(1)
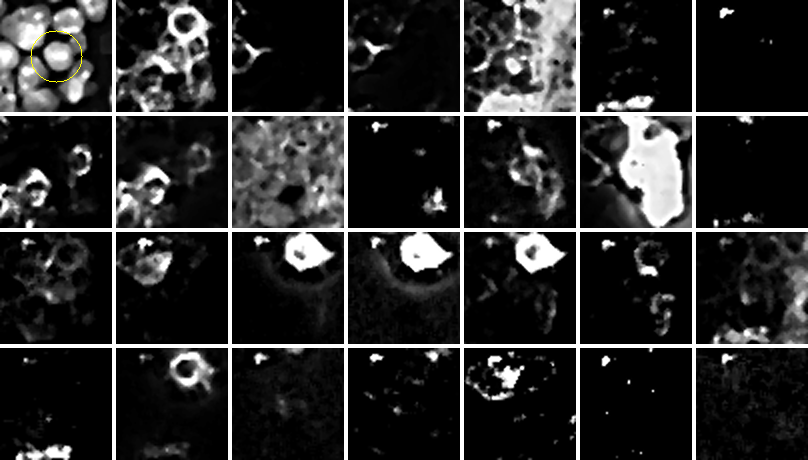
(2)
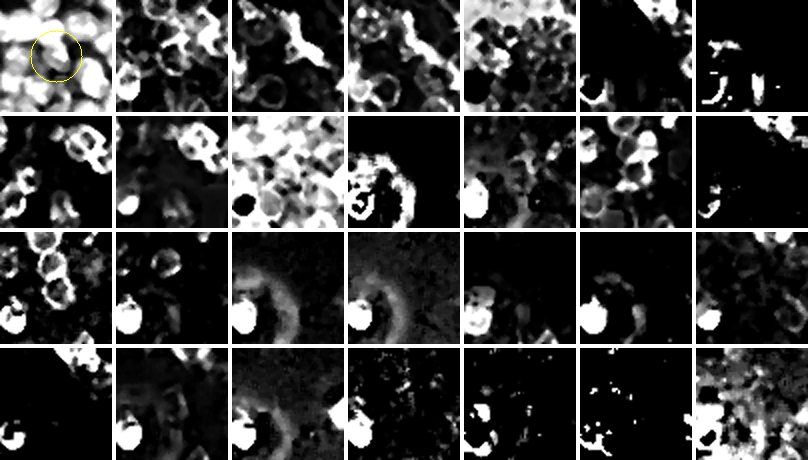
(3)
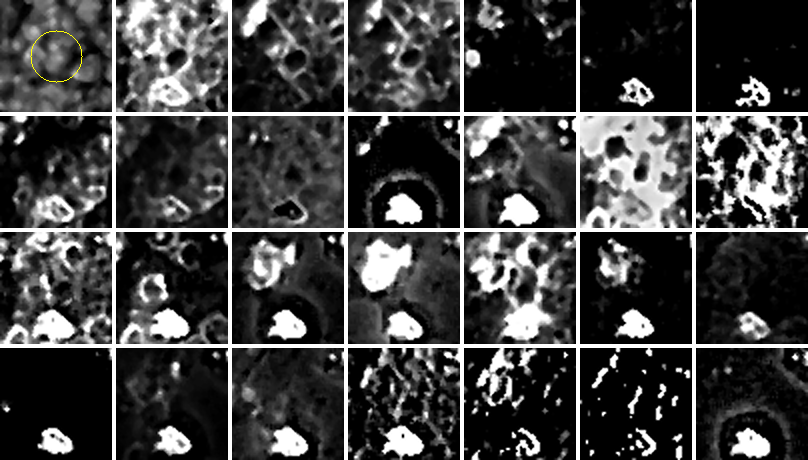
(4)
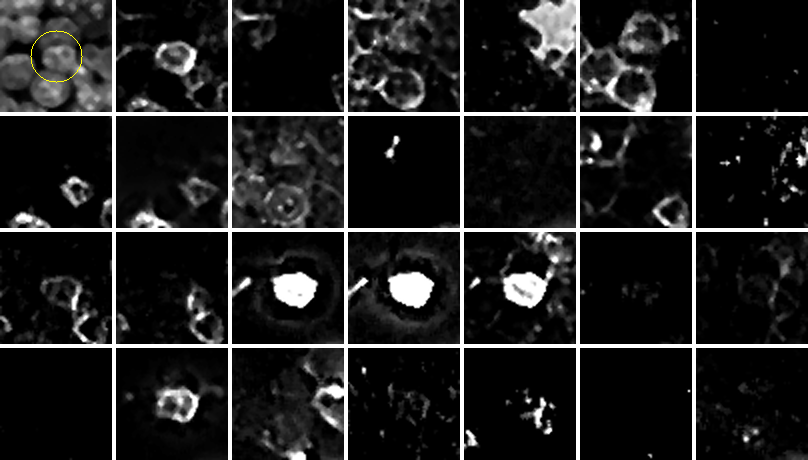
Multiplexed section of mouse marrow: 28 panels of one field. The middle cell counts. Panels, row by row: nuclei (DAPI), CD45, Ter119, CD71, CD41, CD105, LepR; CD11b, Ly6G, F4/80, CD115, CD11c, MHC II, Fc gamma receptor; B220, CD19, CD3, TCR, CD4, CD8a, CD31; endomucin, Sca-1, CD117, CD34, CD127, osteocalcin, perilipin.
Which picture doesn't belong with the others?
Picture 4.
